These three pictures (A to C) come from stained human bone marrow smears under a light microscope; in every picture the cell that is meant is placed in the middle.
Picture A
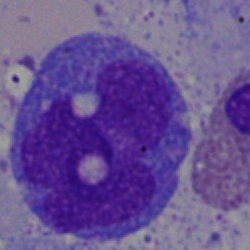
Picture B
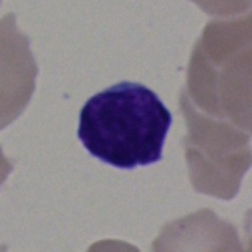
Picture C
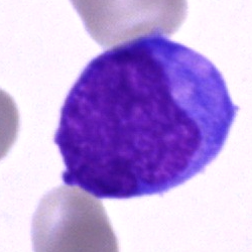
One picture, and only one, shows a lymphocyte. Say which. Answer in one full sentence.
The lymphocyte is the one in picture B.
